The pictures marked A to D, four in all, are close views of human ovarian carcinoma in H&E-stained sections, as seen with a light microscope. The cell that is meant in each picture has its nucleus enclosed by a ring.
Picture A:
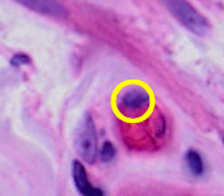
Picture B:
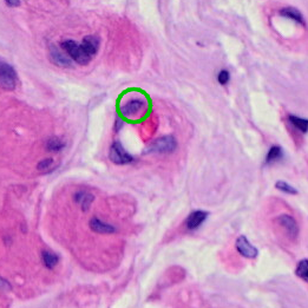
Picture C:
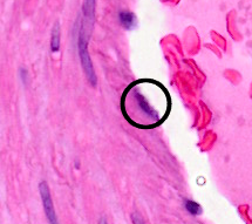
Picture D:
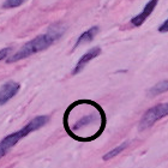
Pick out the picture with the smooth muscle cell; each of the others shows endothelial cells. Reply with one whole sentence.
Picture D shows the smooth muscle cell.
